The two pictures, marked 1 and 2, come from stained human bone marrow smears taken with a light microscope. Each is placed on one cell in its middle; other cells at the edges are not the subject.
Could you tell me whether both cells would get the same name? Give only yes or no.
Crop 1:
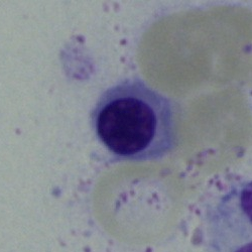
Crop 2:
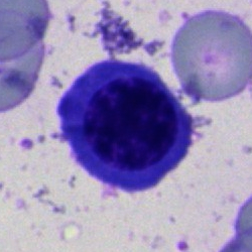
yes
